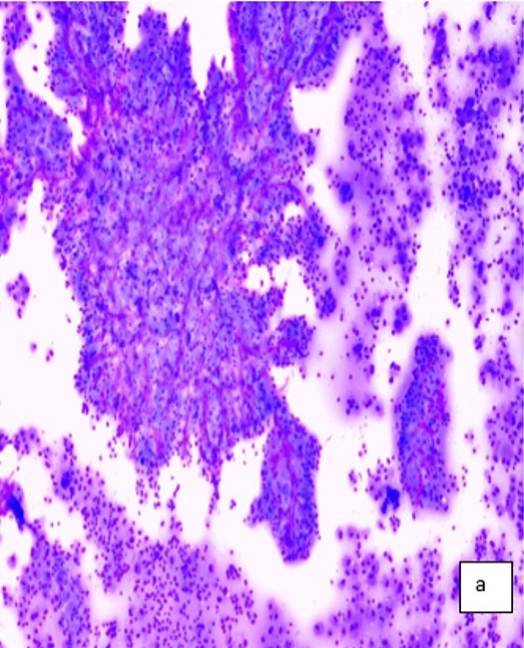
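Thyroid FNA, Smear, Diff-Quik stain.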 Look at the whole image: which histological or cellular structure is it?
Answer: papillary architecture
